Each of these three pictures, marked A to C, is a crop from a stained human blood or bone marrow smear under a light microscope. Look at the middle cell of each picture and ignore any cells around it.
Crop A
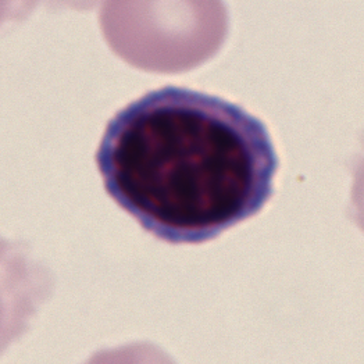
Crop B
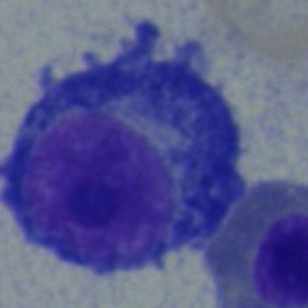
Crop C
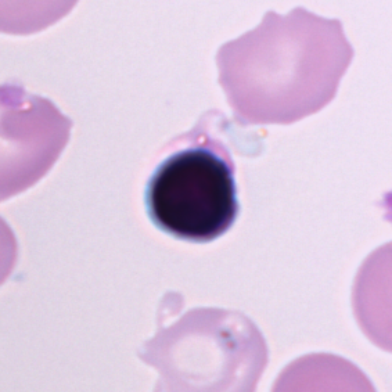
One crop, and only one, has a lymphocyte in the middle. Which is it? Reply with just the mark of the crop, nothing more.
A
